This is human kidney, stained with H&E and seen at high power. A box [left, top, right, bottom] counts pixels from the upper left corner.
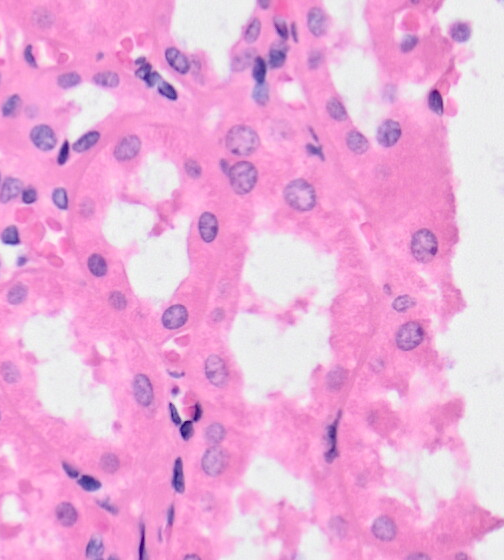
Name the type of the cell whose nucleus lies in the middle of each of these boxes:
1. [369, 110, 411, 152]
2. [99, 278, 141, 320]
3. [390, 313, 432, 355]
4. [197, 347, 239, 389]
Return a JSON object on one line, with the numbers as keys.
{"1": "loop of Henle or distal tubule cell", "2": "proximal tubule cell", "3": "proximal tubule cell", "4": "proximal tubule cell"}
